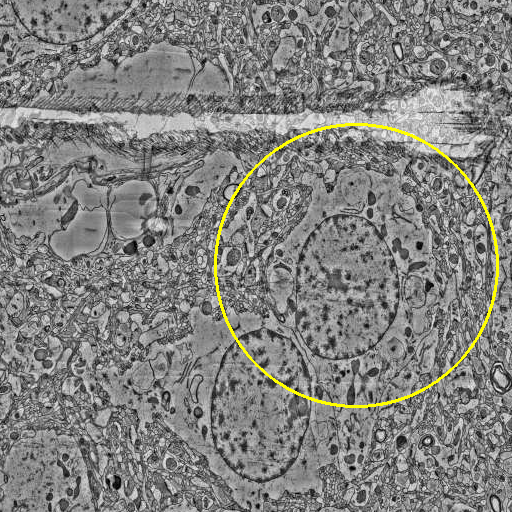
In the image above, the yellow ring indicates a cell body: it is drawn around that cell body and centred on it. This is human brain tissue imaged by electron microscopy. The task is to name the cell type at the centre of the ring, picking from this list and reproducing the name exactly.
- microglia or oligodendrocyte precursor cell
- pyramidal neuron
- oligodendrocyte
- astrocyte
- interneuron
astrocyte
